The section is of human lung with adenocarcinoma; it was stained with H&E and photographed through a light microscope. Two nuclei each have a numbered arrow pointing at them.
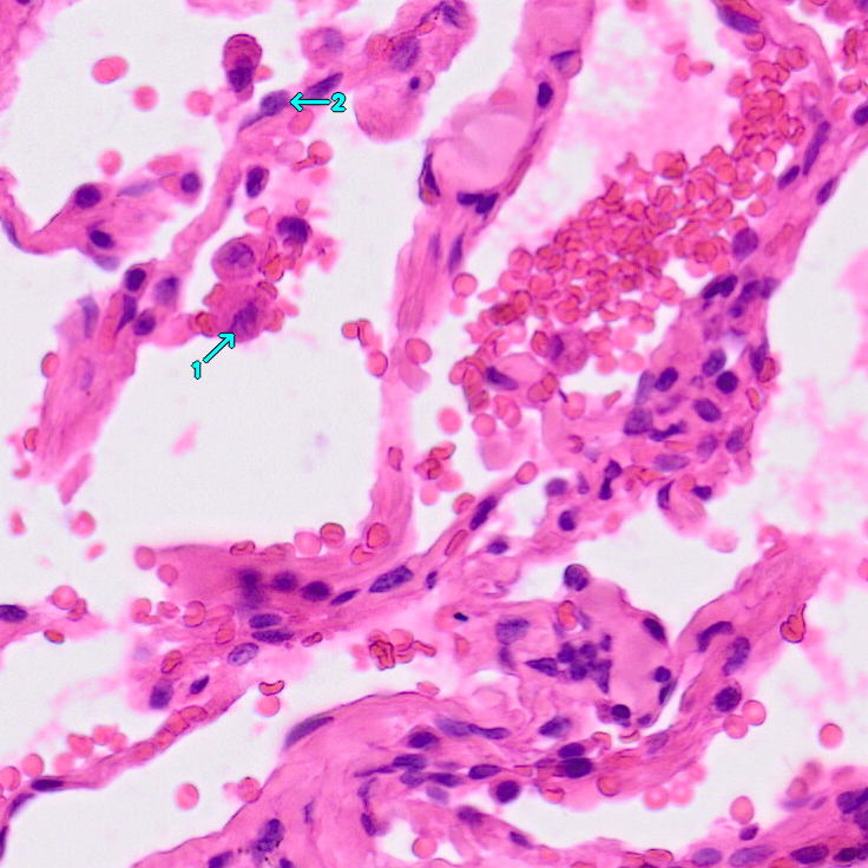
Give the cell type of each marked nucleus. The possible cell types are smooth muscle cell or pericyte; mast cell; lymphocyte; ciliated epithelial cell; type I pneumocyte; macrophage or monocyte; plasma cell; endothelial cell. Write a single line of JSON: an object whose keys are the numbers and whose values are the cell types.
{"1": "macrophage or monocyte", "2": "type I pneumocyte"}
